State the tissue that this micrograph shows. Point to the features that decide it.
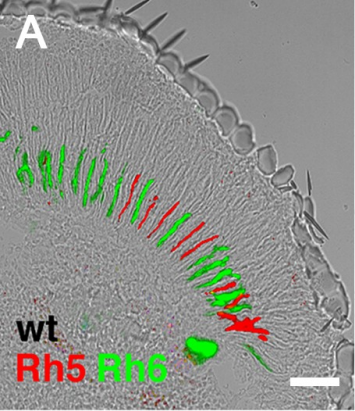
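Elongated labeled rhabdomeres lie side by side in a curved band. The band runs parallel to the curved outer surface covered by a row of lens facets with bristles. So: retina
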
